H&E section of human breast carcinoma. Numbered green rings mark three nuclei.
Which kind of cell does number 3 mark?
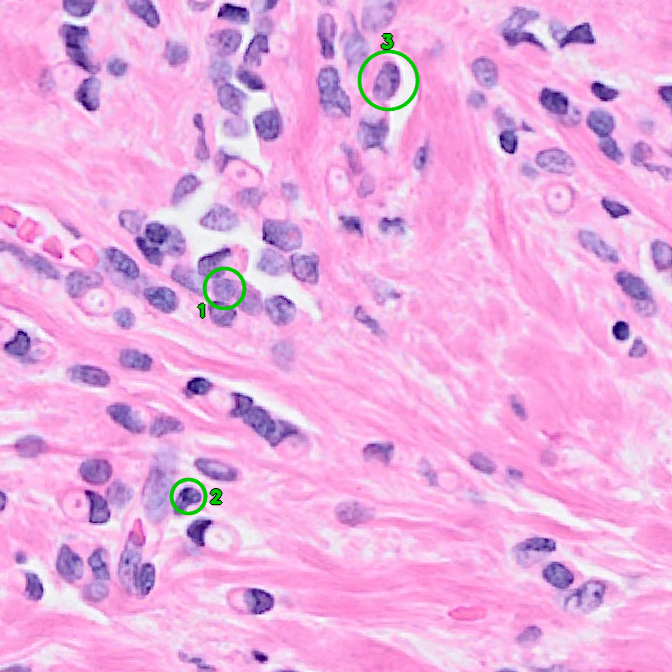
carcinoma cell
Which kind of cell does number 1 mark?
carcinoma cell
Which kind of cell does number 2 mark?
lymphocyte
